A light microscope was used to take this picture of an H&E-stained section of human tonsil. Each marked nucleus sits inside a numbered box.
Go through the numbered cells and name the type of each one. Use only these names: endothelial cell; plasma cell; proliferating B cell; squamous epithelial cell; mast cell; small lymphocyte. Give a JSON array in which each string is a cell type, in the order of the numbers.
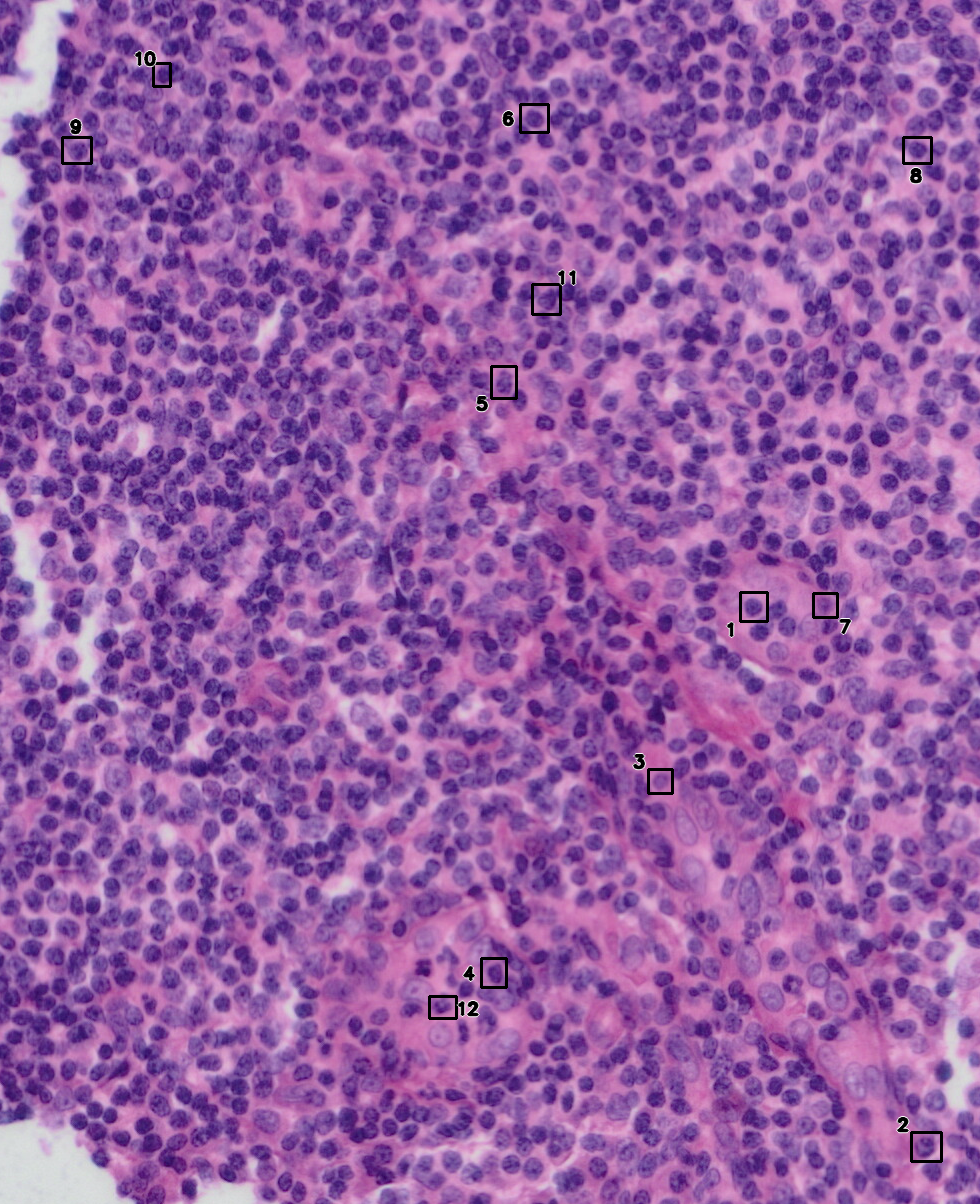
["endothelial cell", "plasma cell", "endothelial cell", "endothelial cell", "plasma cell", "small lymphocyte", "endothelial cell", "small lymphocyte", "small lymphocyte", "small lymphocyte", "small lymphocyte", "endothelial cell"]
